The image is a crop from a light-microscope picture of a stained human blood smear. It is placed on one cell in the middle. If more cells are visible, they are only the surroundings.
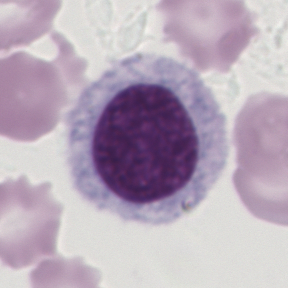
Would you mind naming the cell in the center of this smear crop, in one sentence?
What sits at the centre of this crop is a hairy cell.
